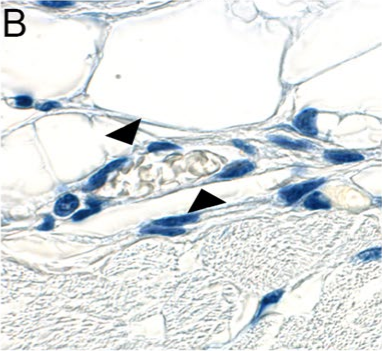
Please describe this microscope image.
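Connective tissue with an elongated blood vessel running across the centre, its lumen packed with pale round red blood cells. The vessel is lined by flattened cells with elongated dark blue nuclei, and its wall shows no brown colour. Above the vessel lie large empty polygonal spaces bounded by thin membranes, typical of fat cells. Scattered spindle-shaped nuclei lie in the fibrous tissue around the vessel.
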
